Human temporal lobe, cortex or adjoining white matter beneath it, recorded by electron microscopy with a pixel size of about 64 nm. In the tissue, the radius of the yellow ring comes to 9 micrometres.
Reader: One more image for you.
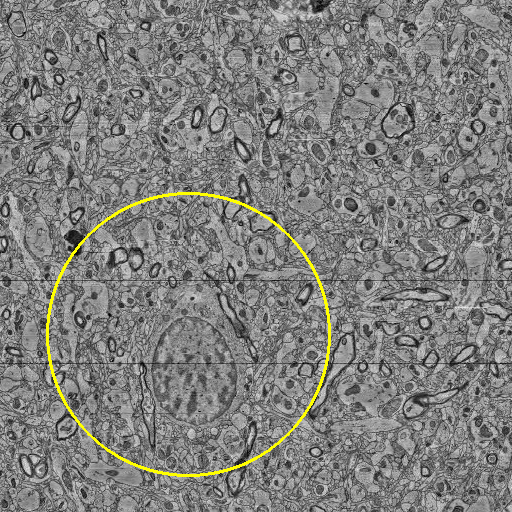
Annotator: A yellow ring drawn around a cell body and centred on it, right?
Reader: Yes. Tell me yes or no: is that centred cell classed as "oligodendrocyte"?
yes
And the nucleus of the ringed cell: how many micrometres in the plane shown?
In this plane, roughly 7 by 5 micrometres.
